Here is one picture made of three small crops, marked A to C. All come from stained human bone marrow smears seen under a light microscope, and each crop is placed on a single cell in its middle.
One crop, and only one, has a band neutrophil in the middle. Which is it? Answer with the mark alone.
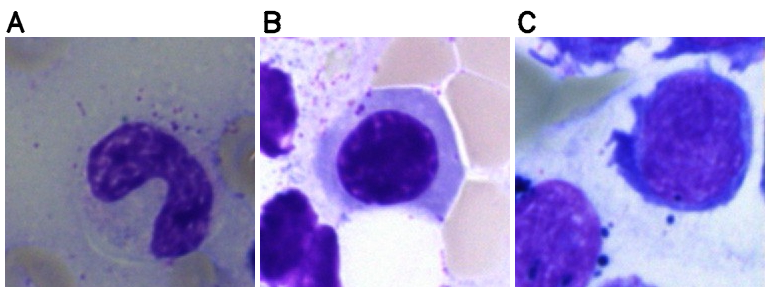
A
